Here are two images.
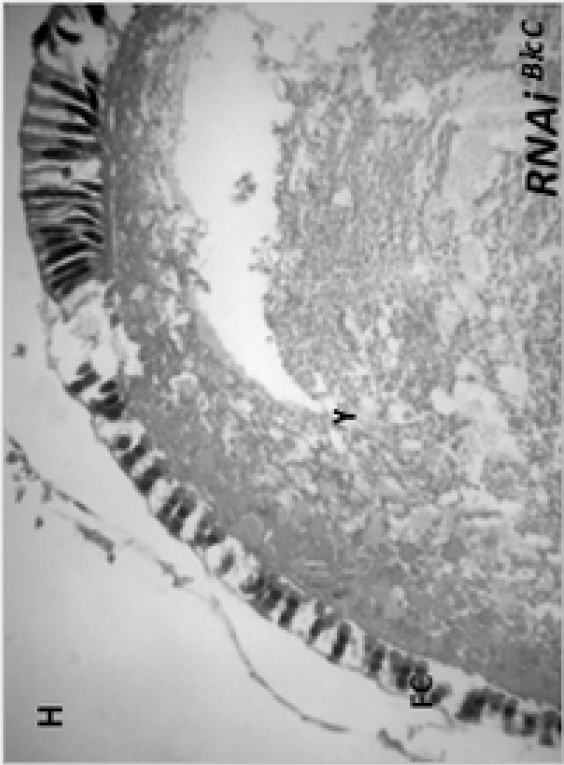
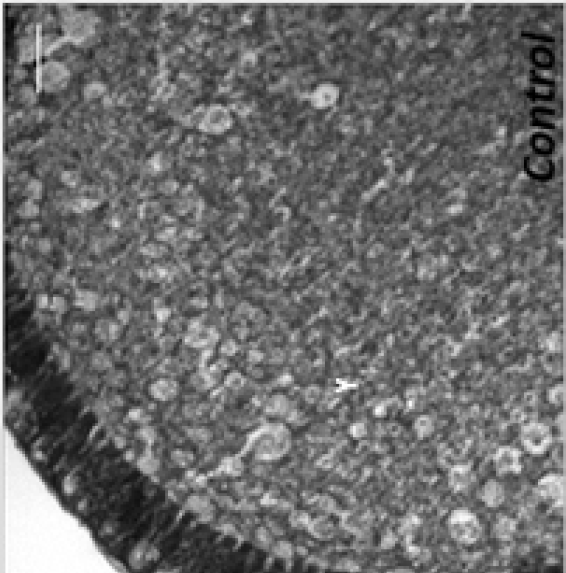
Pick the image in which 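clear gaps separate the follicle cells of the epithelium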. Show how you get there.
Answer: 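The first image. First image: the columnar cells at the rim stand apart with pale gaps between them. Second image: the columnar cells at the rim form a continuous, tightly packed dark layer.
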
